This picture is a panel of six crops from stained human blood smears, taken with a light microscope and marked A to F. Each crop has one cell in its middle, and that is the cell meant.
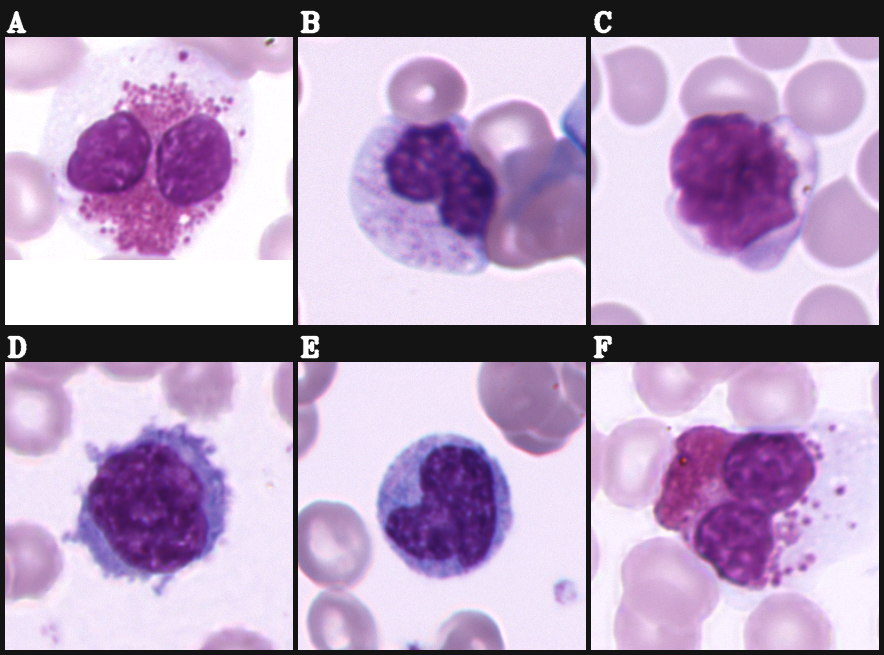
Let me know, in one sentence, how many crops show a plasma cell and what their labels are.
Of these crops, only crop D shows a plasma cell; no other crop does.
